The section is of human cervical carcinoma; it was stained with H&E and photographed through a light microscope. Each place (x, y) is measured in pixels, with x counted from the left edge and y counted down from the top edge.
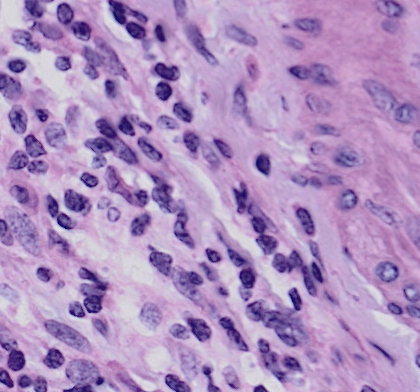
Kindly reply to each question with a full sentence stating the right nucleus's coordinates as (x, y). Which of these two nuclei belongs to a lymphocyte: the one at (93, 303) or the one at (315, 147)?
The nucleus whose cell is a lymphocyte is the one at (93, 303).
